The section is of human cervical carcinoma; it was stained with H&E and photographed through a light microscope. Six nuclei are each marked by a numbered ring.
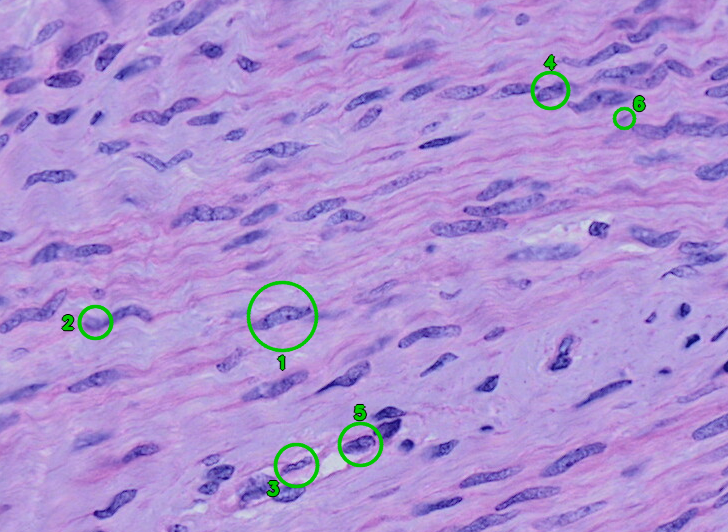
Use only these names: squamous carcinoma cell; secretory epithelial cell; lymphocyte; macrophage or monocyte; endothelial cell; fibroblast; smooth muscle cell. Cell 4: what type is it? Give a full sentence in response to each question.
Here the cell numbered 4 is a smooth muscle cell.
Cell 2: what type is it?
At number 2, the marked cell is a smooth muscle cell.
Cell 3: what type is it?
Identified by the number 3, the cell is an endothelial cell.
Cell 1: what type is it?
The marked cell bearing number 1 is a smooth muscle cell.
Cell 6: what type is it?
The cell given label 6 is a smooth muscle cell.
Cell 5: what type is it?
The cell whose nucleus carries the number 5 is an endothelial cell.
